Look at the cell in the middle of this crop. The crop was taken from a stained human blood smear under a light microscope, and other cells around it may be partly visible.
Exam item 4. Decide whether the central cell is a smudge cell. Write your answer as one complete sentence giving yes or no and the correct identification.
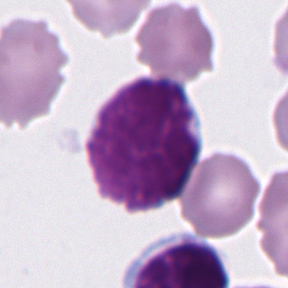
Yes, shown in the middle of the crop is a smudge cell.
